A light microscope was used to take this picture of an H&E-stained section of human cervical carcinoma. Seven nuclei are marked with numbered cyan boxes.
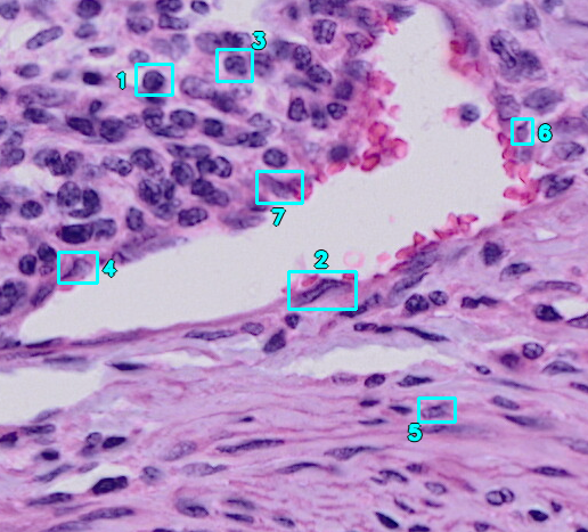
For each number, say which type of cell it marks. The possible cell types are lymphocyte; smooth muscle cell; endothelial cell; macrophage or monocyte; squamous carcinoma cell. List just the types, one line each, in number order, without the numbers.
lymphocyte
endothelial cell
lymphocyte
endothelial cell
smooth muscle cell
endothelial cell
endothelial cell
